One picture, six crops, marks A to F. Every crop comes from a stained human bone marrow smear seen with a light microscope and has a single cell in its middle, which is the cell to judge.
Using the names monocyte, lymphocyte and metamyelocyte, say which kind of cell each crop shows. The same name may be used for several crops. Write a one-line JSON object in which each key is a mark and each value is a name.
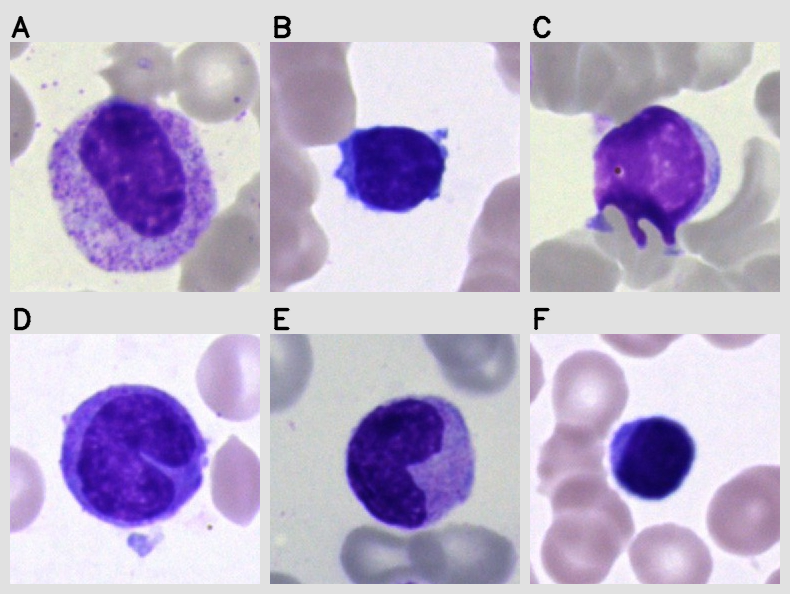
{"A": "metamyelocyte", "B": "lymphocyte", "C": "lymphocyte", "D": "monocyte", "E": "metamyelocyte", "F": "lymphocyte"}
